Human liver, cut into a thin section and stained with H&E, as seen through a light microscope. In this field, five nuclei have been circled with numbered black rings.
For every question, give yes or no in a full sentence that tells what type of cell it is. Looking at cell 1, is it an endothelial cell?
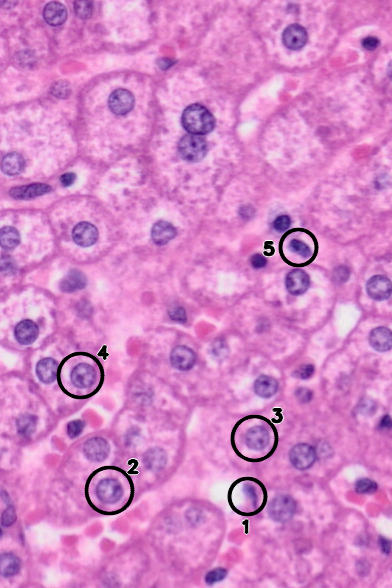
Yes, in this tissue section, number 1 is an endothelial cell.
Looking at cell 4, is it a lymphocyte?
No, the cell that carries number 4 is a hepatocyte, not a lymphocyte.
